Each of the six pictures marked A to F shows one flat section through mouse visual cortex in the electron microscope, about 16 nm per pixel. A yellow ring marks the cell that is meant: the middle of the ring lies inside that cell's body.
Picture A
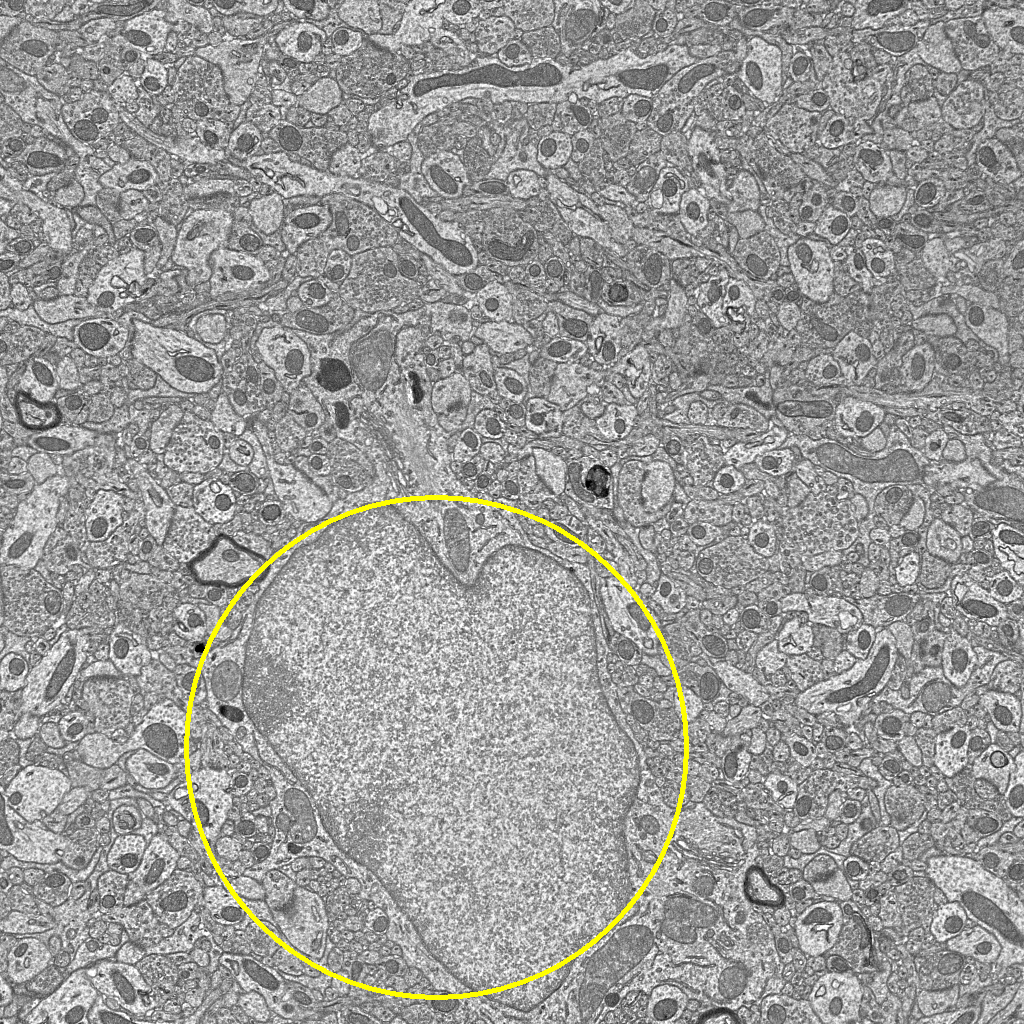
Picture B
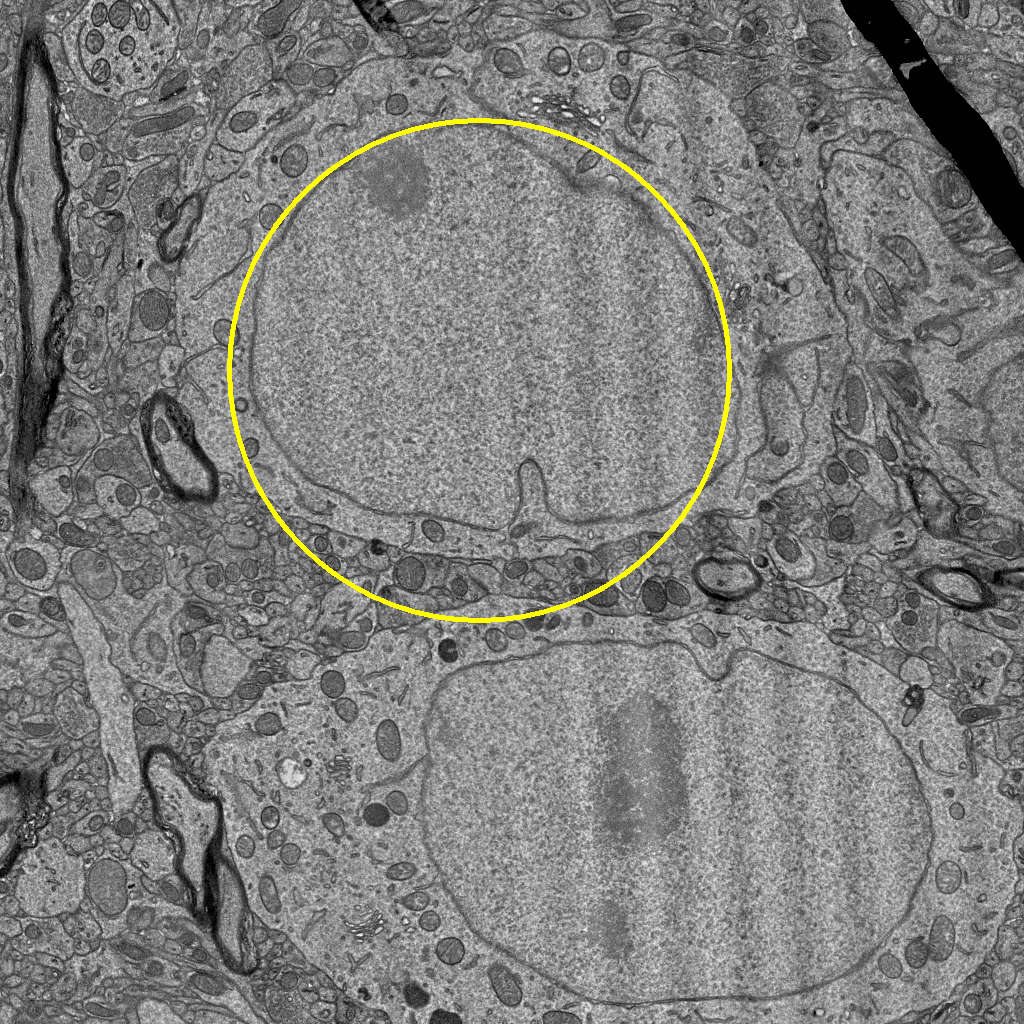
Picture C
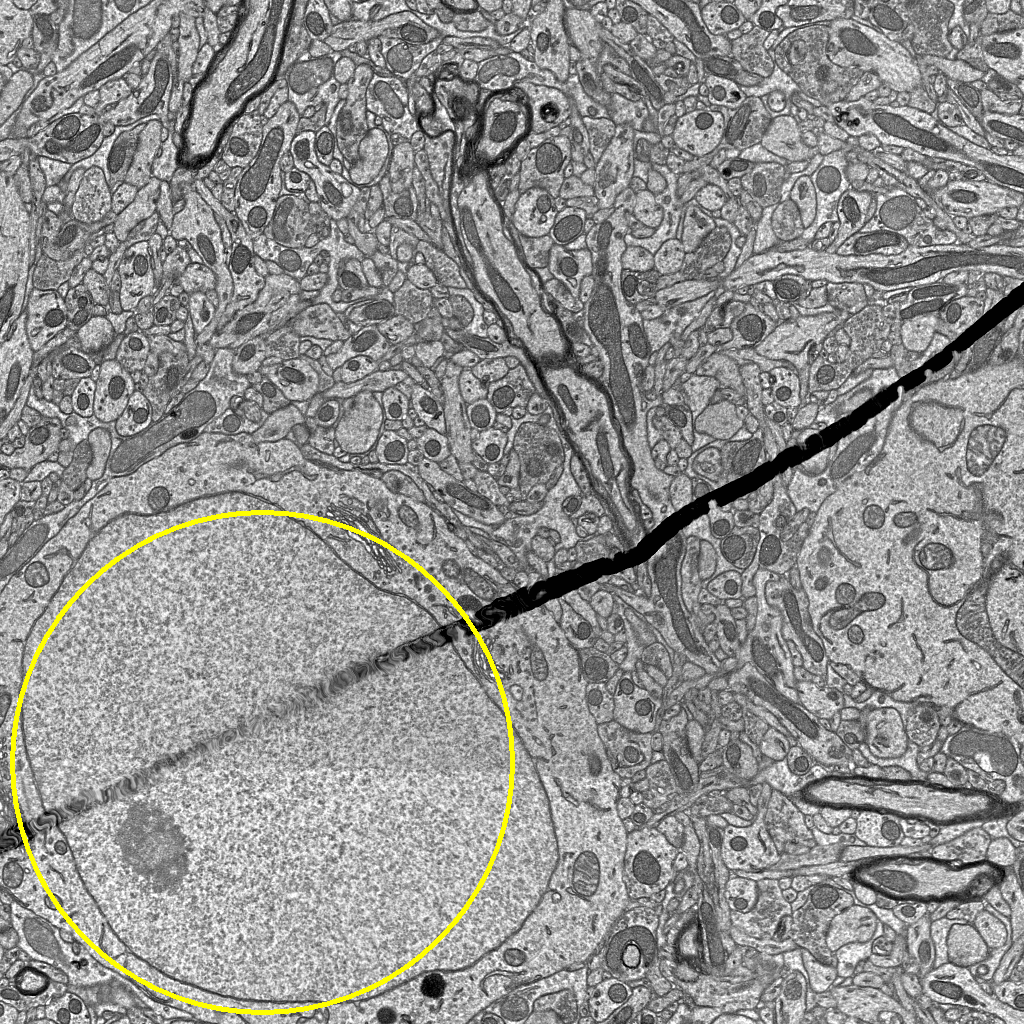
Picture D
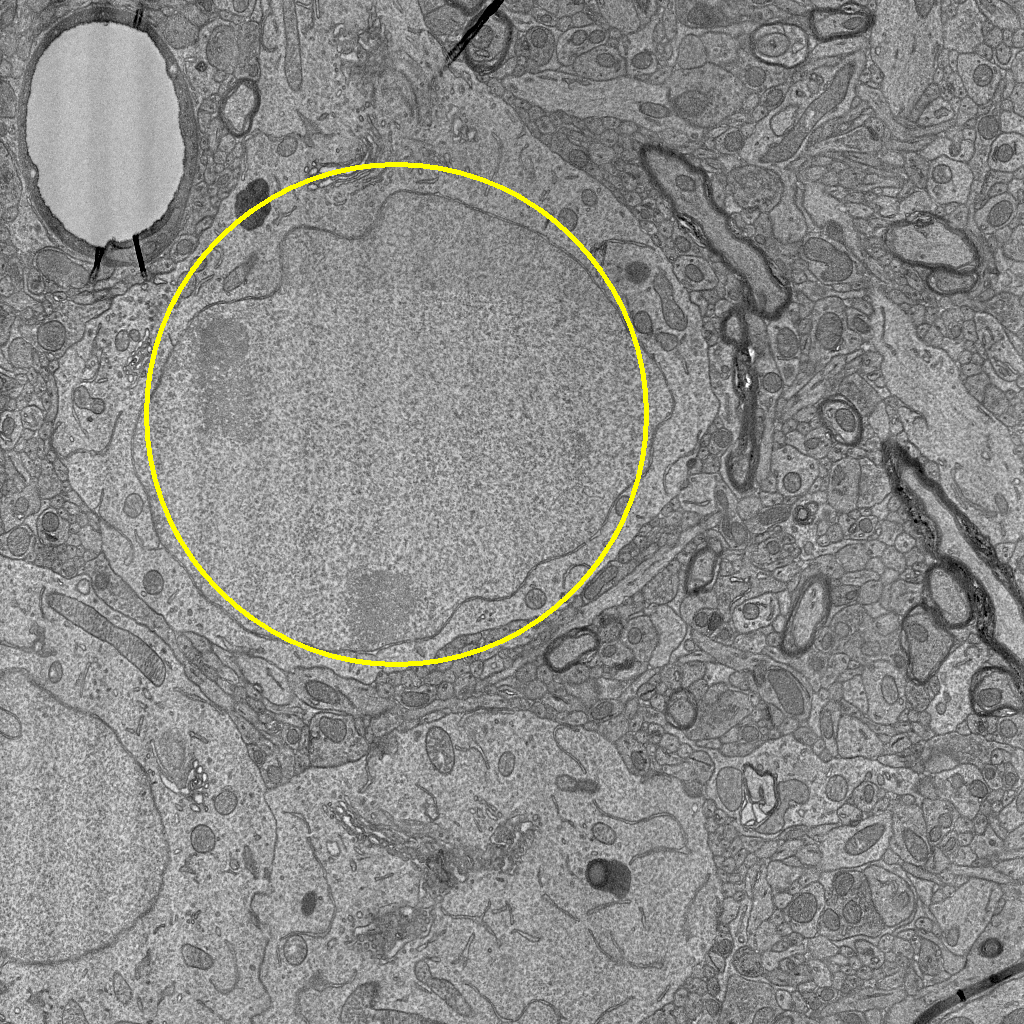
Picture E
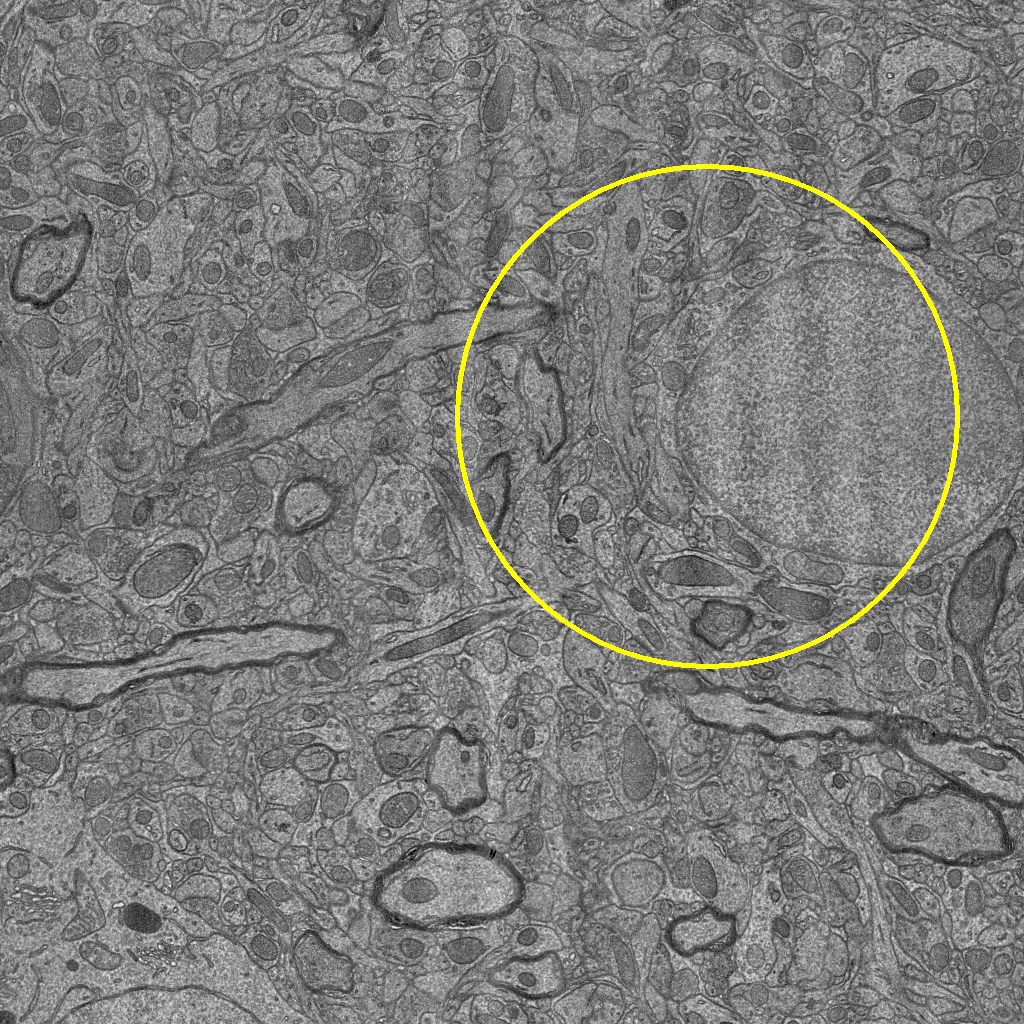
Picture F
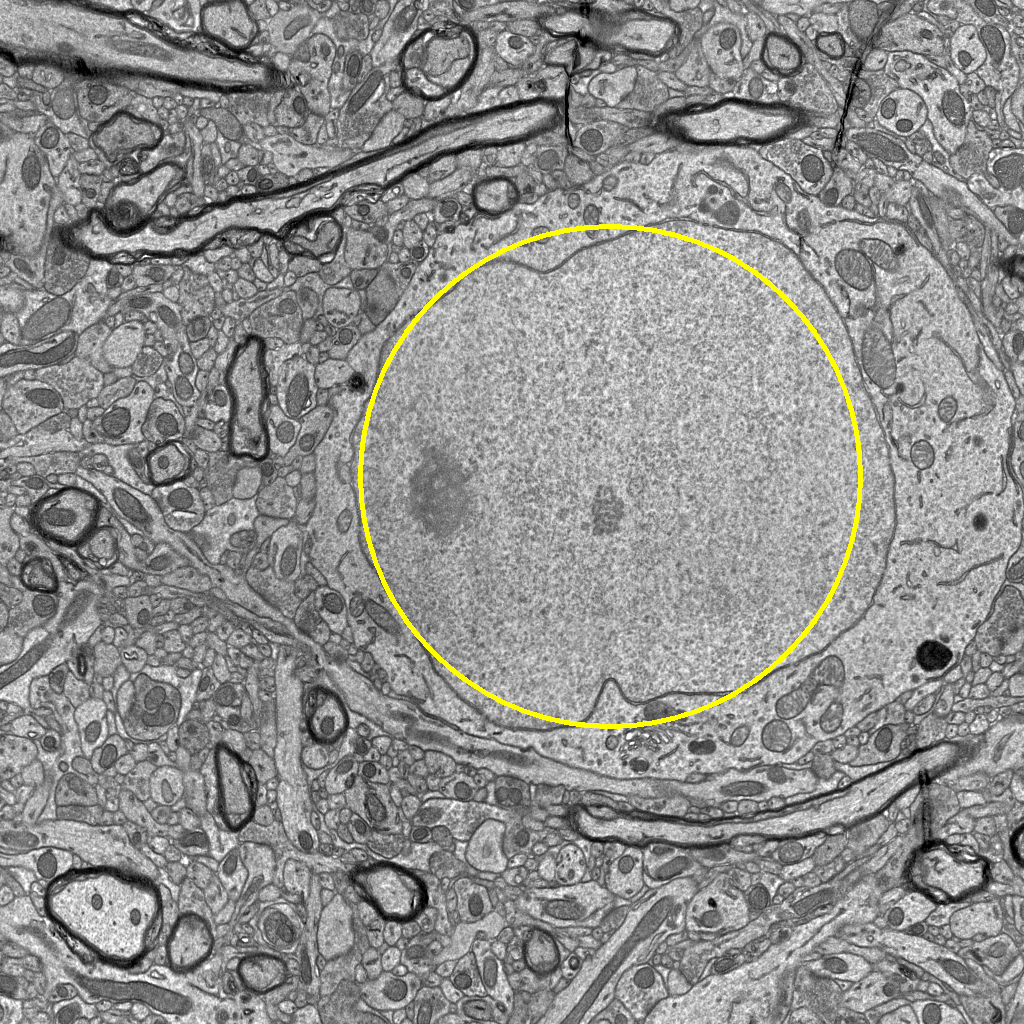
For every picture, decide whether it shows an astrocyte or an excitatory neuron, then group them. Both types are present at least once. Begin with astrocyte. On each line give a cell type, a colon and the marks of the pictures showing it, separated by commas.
astrocyte: A, E
excitatory neuron: B, C, D, F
